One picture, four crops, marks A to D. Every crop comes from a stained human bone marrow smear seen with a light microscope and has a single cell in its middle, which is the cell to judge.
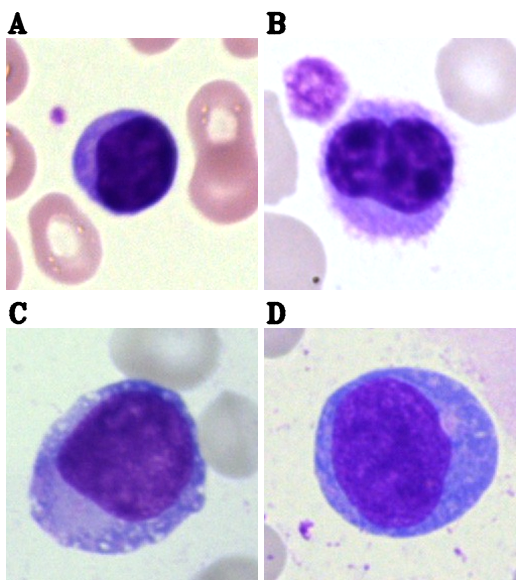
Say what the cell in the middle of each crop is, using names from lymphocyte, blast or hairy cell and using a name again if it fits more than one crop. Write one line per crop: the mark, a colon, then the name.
A: lymphocyte
B: hairy cell
C: blast
D: blast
